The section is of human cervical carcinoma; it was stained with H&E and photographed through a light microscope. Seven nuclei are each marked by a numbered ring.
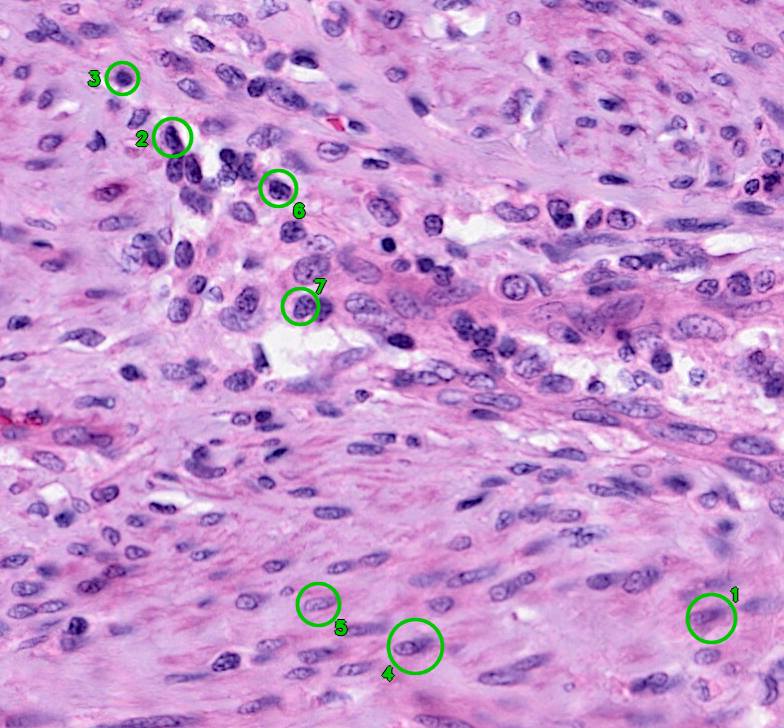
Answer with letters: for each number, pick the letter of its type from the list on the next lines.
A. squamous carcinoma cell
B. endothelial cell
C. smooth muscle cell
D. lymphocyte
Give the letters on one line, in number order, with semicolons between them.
C; D; D; C; C; D; D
